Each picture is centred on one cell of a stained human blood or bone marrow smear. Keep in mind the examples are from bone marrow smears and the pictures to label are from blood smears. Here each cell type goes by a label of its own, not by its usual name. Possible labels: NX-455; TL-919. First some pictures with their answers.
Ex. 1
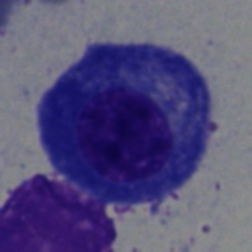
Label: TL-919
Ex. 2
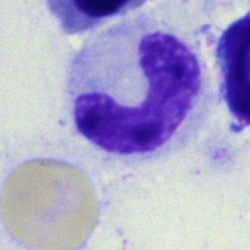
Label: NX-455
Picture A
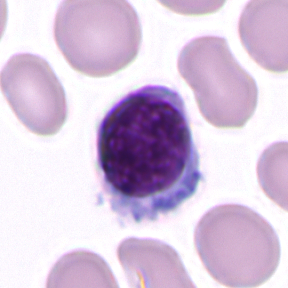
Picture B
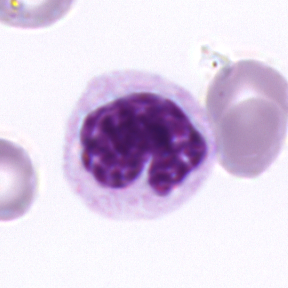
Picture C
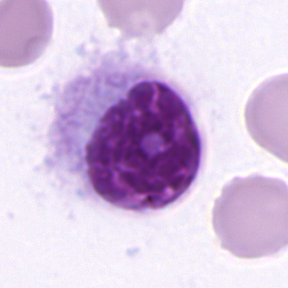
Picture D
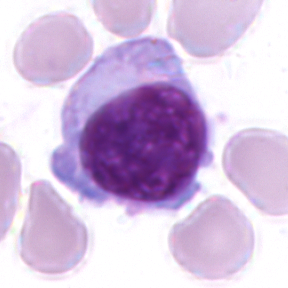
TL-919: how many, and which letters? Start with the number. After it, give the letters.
Count: 3 (A, C, D)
